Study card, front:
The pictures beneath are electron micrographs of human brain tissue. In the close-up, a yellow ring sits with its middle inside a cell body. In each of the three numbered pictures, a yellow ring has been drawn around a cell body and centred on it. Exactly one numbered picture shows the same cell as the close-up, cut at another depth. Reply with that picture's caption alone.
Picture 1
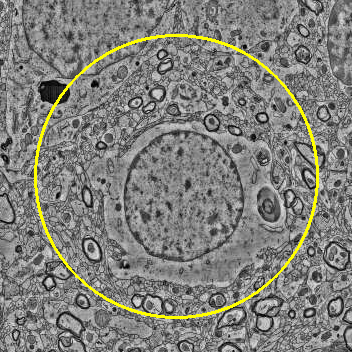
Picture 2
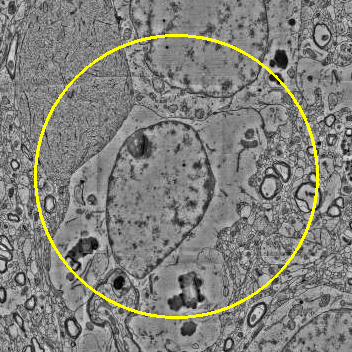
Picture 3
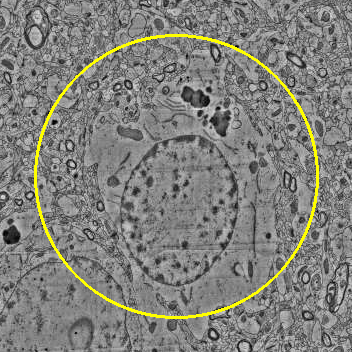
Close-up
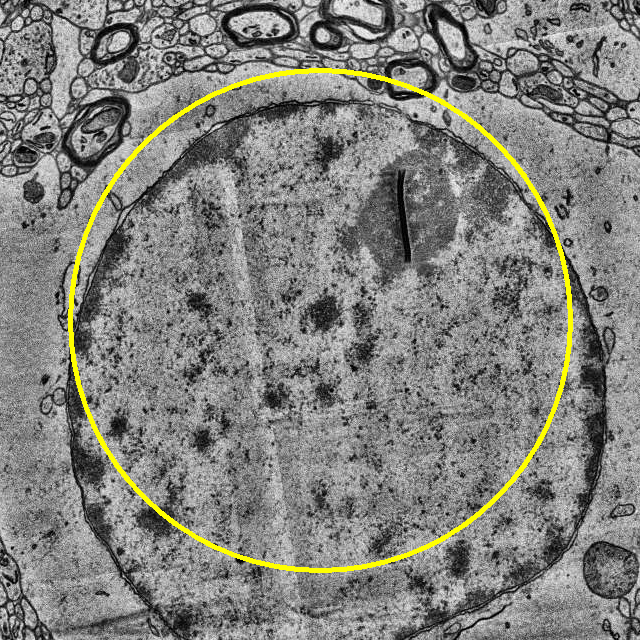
Picture 1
